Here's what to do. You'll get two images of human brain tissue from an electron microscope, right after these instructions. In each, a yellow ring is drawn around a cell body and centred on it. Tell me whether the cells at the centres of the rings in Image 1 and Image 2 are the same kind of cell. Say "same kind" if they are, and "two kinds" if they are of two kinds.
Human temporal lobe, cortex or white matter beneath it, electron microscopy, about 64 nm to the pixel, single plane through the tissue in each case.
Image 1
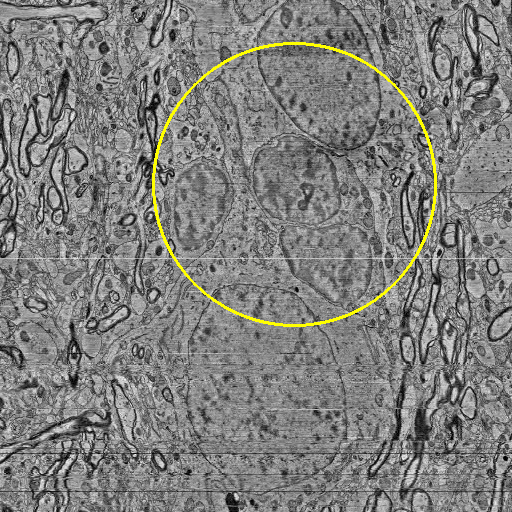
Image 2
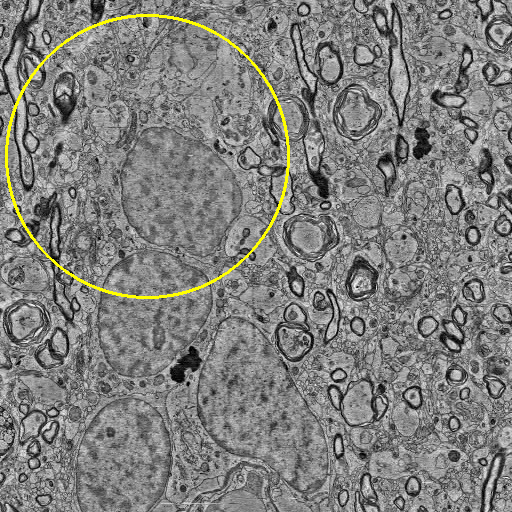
same kind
